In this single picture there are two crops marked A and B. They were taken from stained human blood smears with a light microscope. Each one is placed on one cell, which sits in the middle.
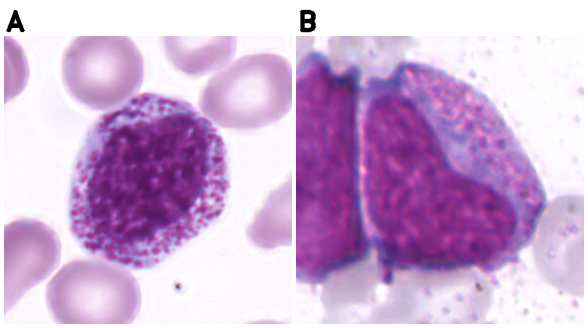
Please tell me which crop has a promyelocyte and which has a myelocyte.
A: myelocyte
B: promyelocyte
